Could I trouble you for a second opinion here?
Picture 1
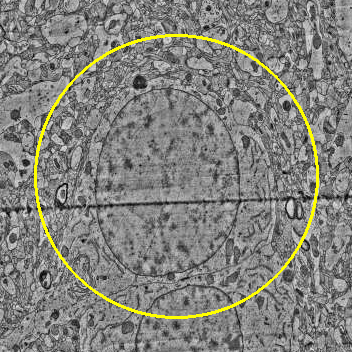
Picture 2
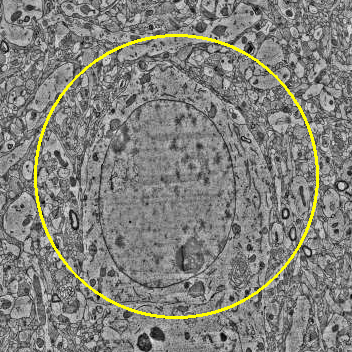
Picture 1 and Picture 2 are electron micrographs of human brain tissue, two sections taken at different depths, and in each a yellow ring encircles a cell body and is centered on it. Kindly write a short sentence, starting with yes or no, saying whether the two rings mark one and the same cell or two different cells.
Yes, both yellow rings mark one and the same cell.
